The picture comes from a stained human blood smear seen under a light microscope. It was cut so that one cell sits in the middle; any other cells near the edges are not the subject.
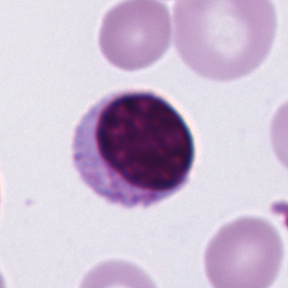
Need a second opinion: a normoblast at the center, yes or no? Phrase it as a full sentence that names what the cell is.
No, the cell in the middle is recognised as a typical lymphocyte rather than a normoblast.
